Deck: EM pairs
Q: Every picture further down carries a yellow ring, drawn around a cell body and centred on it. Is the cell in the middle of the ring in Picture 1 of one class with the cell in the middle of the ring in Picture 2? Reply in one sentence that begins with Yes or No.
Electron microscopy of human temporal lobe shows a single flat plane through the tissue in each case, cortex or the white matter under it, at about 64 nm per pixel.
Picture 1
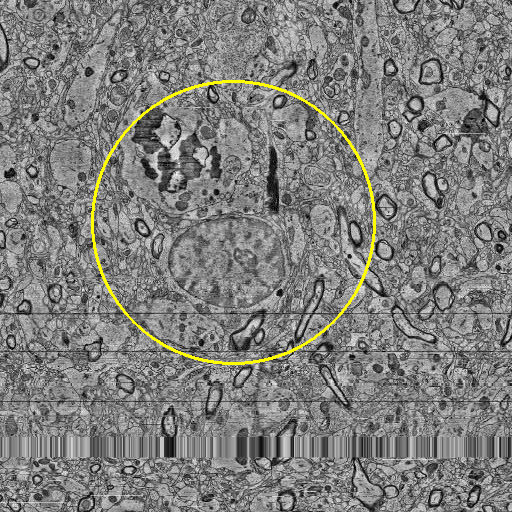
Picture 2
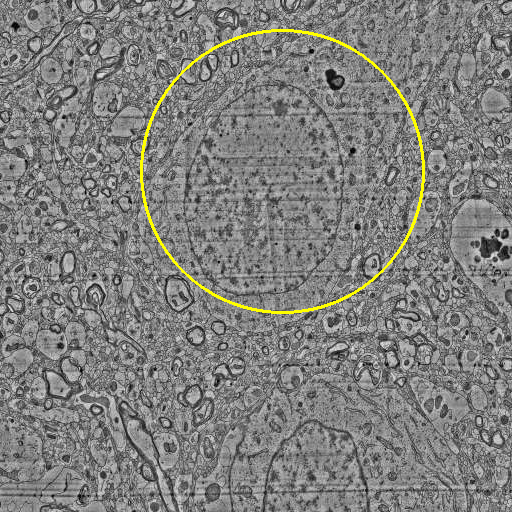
No, the cell centred in the ring of Picture 1 and the one in Picture 2 belong to separate classes.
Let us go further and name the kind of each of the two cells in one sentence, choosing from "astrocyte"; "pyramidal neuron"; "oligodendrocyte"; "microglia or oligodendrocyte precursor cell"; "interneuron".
The ring of the first picture is on an oligodendrocyte, the ring of the second on a pyramidal neuron.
